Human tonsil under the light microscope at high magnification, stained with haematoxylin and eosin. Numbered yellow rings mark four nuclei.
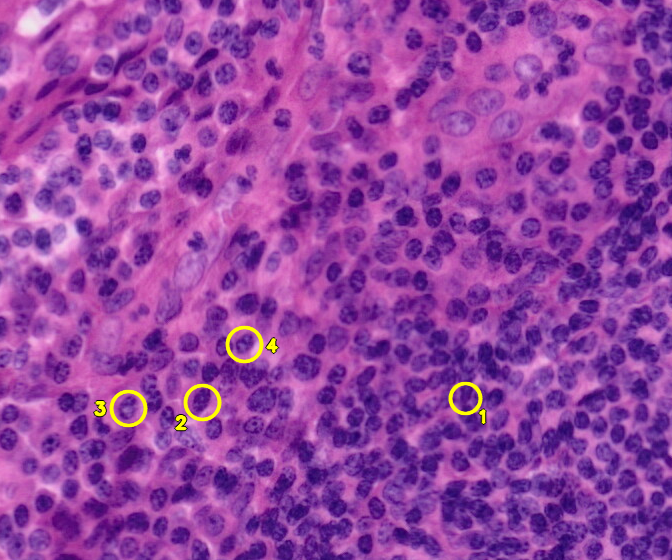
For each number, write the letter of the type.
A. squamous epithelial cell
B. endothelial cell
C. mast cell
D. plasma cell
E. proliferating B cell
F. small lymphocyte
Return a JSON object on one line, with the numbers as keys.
{"1": "F", "2": "D", "3": "D", "4": "D"}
